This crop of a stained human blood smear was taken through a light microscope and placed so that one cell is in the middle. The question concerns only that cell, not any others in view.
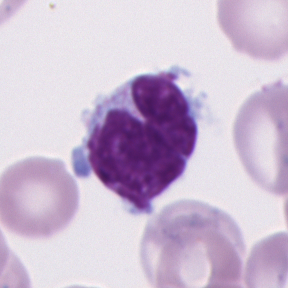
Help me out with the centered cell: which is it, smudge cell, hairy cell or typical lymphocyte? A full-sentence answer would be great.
The cell under consideration, at the middle of the crop, is a typical lymphocyte.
